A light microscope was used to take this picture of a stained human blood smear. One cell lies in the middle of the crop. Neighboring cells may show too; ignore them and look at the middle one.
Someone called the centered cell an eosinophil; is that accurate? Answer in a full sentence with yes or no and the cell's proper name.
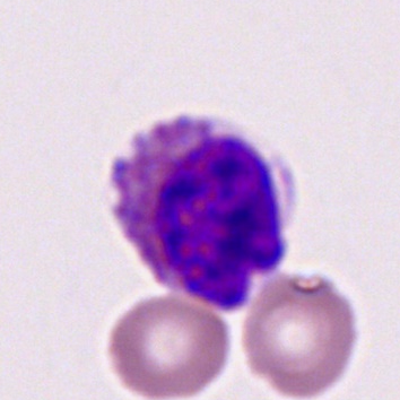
Yes, the cell placed centrally within the crop is an eosinophil.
